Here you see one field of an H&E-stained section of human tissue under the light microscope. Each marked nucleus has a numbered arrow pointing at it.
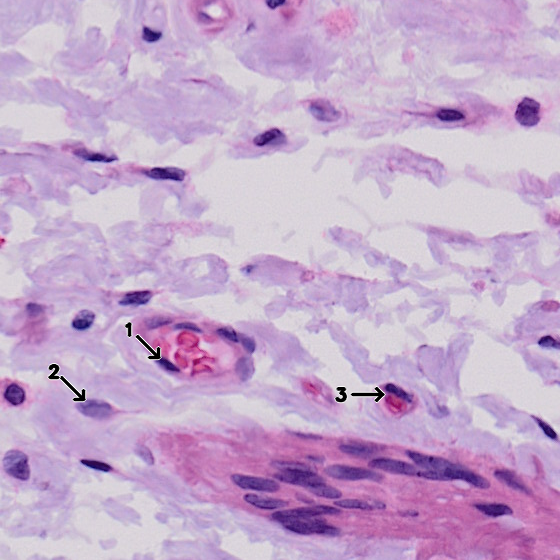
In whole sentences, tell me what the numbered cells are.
Cell 1 is an endothelial cell, cell 2 is a fibroblast and cell 3 is an endothelial cell.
